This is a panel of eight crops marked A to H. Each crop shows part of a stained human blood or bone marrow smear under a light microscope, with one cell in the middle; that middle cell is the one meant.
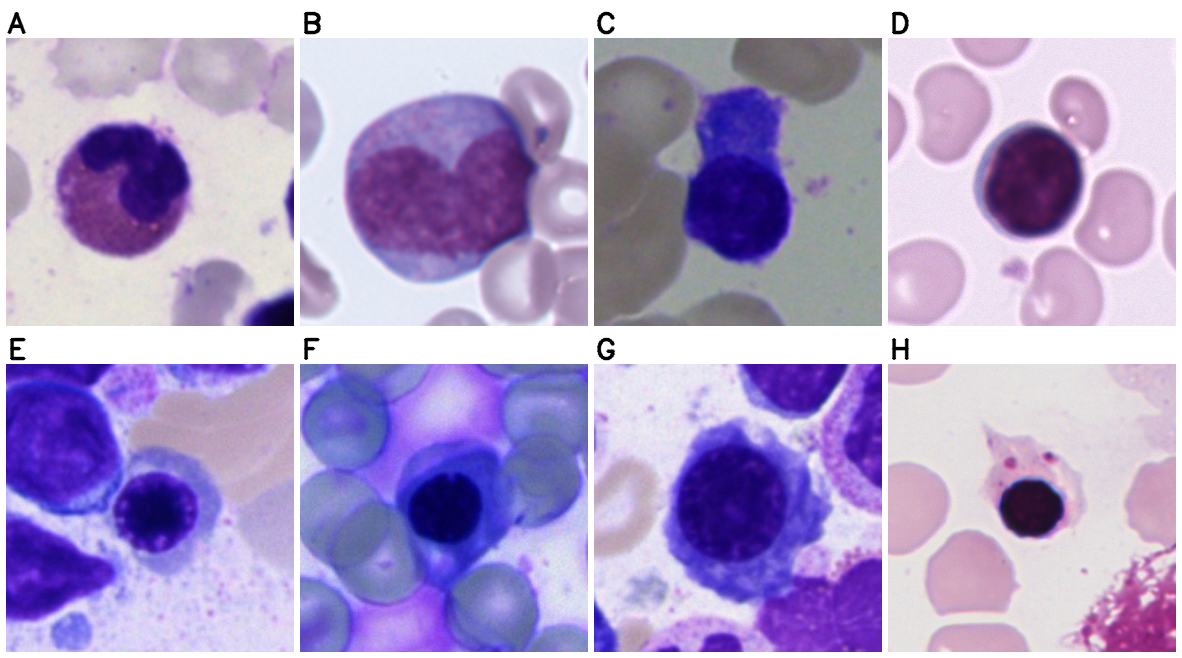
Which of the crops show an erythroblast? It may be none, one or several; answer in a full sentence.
The crops marked E, F, G and H contain erythroblasts at the centre.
